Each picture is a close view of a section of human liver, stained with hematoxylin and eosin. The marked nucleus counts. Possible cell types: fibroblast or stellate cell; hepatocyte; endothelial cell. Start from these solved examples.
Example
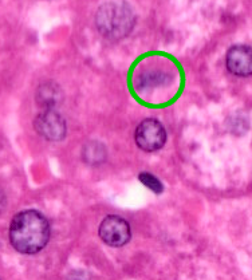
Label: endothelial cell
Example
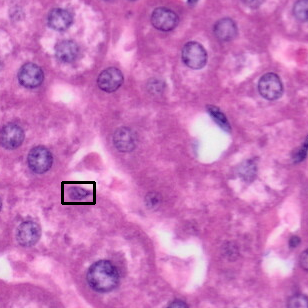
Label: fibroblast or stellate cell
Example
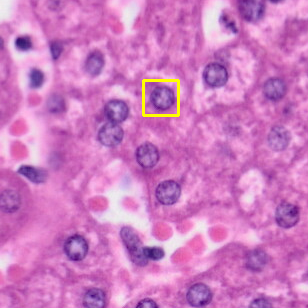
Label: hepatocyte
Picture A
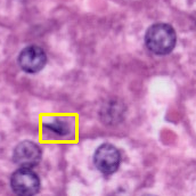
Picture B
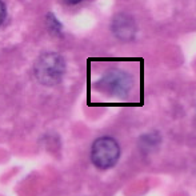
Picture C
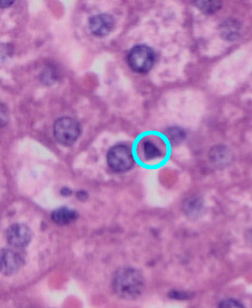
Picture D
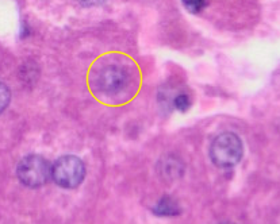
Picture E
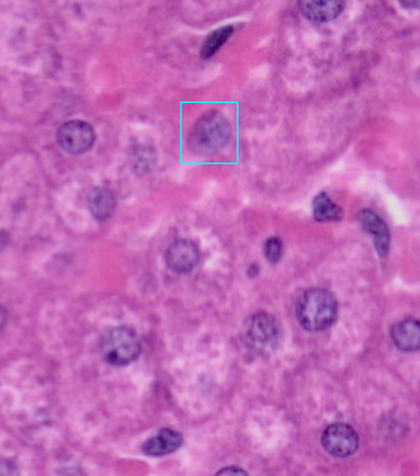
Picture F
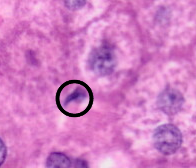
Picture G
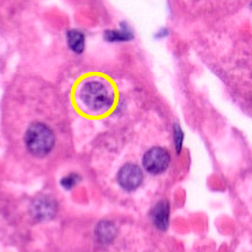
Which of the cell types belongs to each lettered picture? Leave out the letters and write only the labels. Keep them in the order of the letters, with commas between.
endothelial cell, endothelial cell, fibroblast or stellate cell, hepatocyte, endothelial cell, endothelial cell, hepatocyte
